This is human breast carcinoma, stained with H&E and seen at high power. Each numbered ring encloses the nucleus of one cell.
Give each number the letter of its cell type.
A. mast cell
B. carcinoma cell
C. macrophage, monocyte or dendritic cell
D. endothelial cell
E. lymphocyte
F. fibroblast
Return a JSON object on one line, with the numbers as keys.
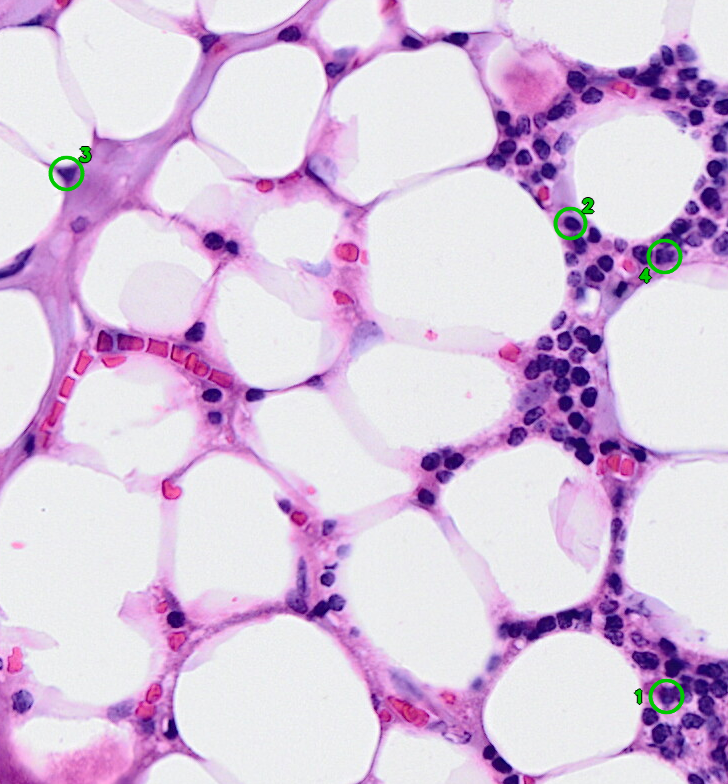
{"1": "E", "2": "E", "3": "F", "4": "E"}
